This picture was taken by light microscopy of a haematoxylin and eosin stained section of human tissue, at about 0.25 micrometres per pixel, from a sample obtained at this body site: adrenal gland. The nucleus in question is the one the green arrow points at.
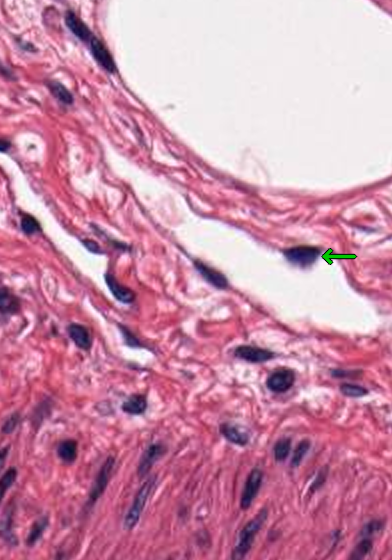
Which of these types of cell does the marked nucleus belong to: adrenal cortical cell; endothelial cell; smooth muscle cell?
endothelial cell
